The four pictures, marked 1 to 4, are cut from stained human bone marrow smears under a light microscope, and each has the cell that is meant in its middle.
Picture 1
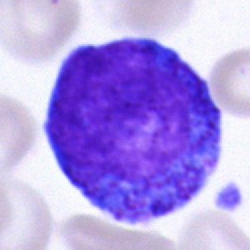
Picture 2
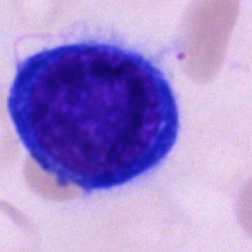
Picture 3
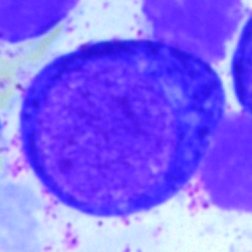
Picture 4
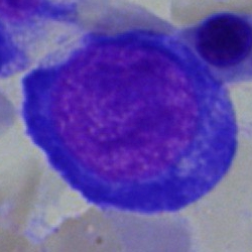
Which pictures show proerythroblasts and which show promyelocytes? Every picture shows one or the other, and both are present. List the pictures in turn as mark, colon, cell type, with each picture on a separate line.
1: promyelocyte
2: proerythroblast
3: proerythroblast
4: proerythroblast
